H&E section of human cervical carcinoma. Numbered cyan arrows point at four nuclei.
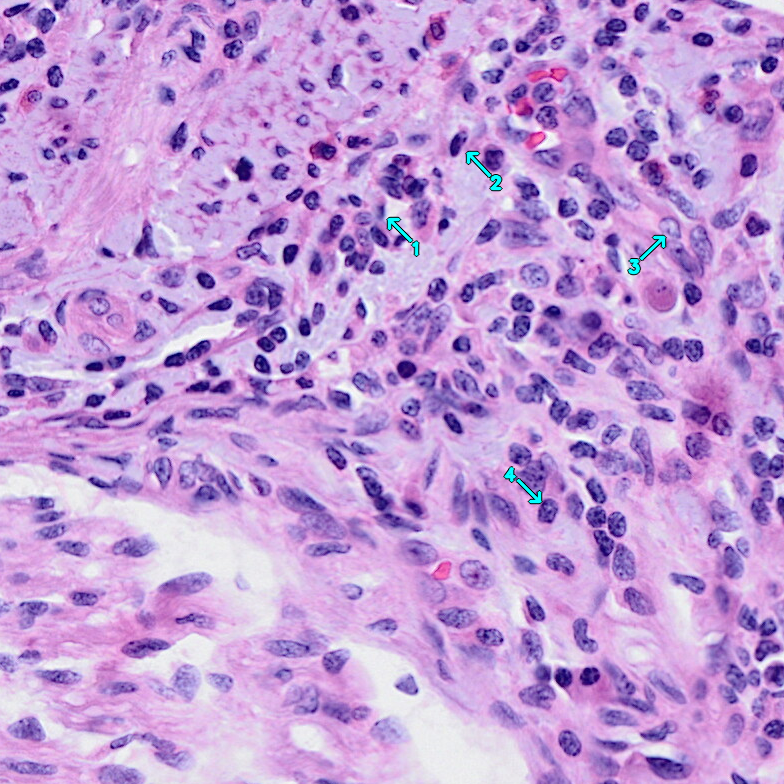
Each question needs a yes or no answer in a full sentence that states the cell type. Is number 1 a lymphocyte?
Yes, that is right: the cell labelled 1 is a lymphocyte.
